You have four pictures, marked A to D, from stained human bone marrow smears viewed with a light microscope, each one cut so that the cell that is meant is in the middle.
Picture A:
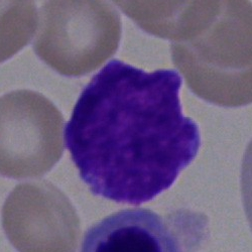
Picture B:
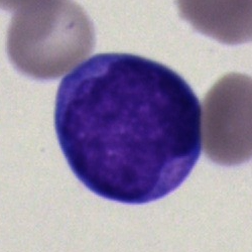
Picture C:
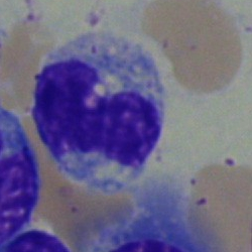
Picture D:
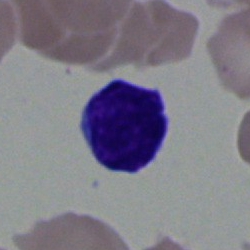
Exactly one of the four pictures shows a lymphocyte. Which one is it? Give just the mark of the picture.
D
